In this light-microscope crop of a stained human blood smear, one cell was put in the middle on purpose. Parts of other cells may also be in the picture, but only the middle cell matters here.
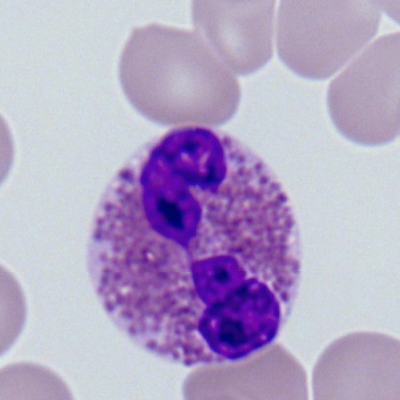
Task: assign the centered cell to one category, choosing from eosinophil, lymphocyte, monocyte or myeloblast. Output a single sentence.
The centrally placed cell is classified as an eosinophil.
